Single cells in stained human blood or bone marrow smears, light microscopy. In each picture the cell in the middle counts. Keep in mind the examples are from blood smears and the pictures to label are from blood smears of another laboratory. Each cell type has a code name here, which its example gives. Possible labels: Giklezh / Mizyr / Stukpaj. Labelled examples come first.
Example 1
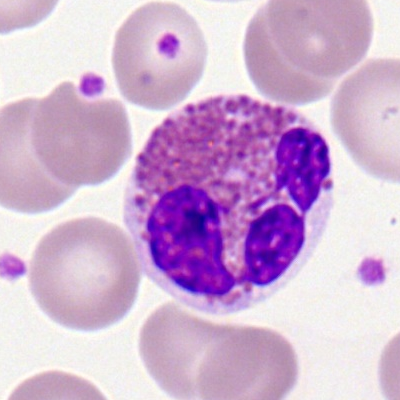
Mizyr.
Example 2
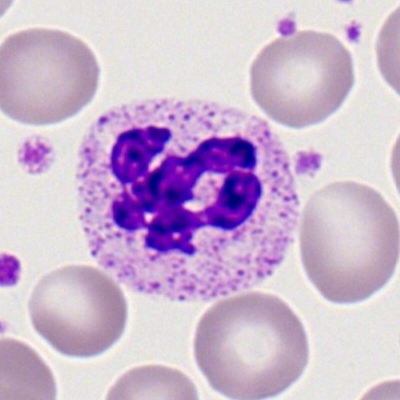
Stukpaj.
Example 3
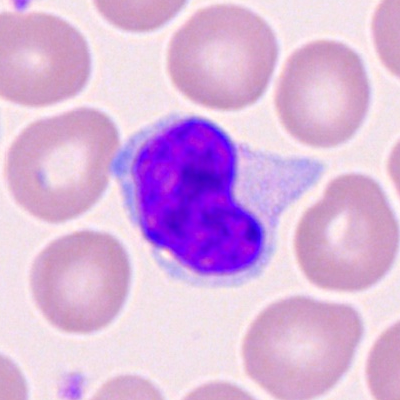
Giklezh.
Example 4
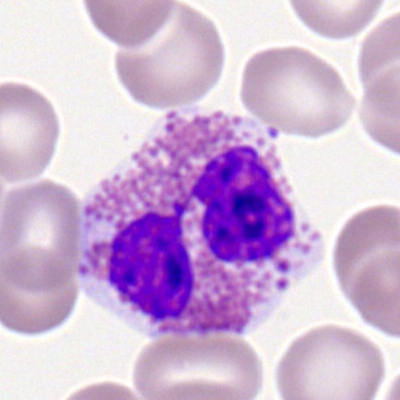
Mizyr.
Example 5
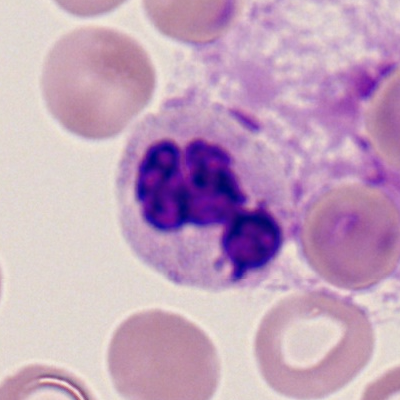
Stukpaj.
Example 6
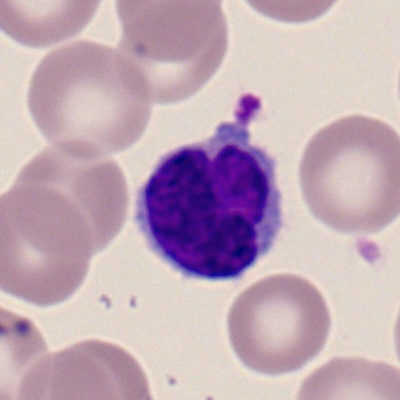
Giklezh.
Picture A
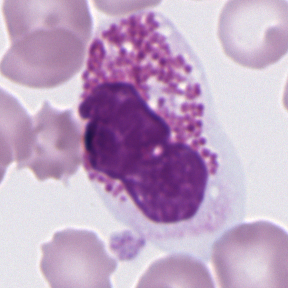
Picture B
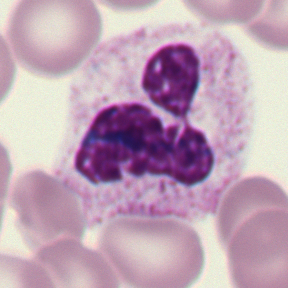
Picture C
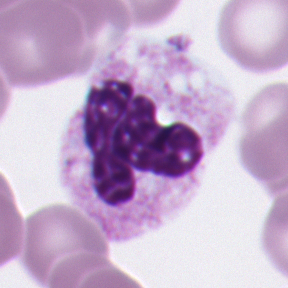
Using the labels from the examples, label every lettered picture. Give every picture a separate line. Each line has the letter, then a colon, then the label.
A: Mizyr.
B: Stukpaj.
C: Stukpaj.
